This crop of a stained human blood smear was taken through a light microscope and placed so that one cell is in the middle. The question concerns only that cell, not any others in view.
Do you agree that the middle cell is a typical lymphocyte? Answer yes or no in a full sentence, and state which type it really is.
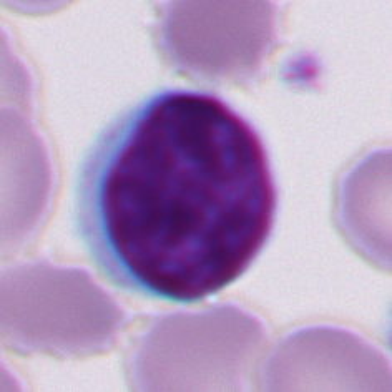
Yes, the middle cell in this crop is a typical lymphocyte.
